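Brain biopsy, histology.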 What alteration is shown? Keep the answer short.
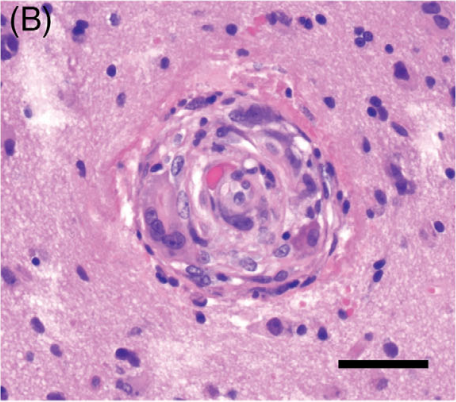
angiocentric inflammation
